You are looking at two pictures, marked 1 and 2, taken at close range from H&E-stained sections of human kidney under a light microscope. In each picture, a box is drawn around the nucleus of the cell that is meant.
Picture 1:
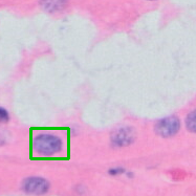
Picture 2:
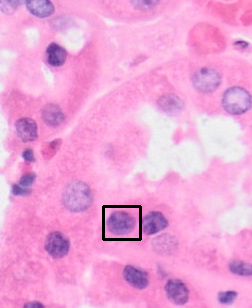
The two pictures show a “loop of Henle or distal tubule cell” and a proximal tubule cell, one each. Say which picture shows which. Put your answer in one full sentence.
It is picture 1 that shows a “loop of Henle or distal tubule cell”, and picture 2 that shows a proximal tubule cell.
